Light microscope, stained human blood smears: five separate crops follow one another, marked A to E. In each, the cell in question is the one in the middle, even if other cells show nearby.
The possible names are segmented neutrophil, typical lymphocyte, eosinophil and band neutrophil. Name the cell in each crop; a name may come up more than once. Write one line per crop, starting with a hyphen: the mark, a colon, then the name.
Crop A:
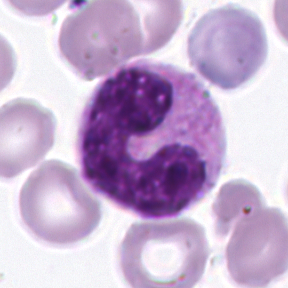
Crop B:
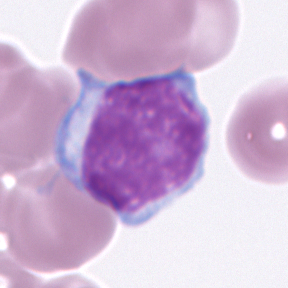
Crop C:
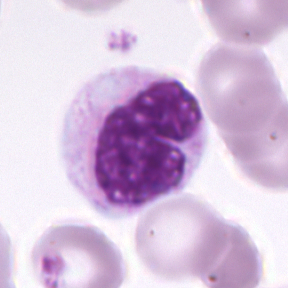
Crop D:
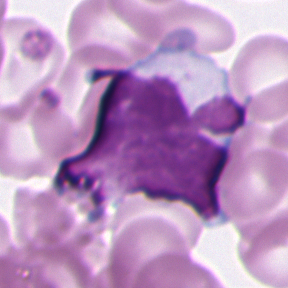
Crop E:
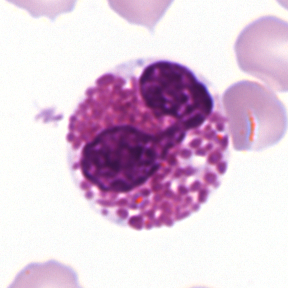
- A: band neutrophil
- B: typical lymphocyte
- C: band neutrophil
- D: typical lymphocyte
- E: eosinophil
